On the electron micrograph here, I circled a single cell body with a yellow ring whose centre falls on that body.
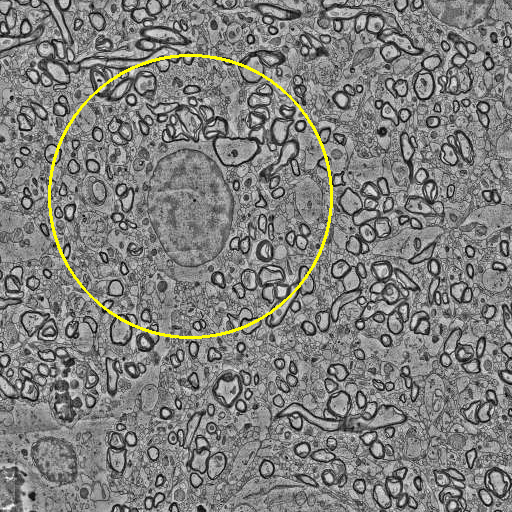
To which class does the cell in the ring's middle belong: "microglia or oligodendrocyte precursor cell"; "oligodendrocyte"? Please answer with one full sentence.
In this picture, the cell body circled at the ring's centre belongs to an oligodendrocyte.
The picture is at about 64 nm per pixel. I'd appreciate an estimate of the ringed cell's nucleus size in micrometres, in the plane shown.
In this plane, about 8 micrometres in length and 6 in width.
